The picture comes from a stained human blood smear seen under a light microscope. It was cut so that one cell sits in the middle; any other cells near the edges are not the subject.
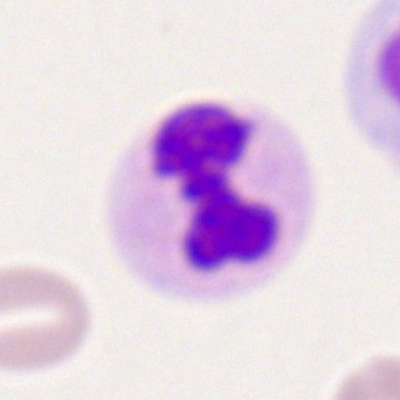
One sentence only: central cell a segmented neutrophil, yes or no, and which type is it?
Yes, the cell in the center of this crop is a segmented neutrophil.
